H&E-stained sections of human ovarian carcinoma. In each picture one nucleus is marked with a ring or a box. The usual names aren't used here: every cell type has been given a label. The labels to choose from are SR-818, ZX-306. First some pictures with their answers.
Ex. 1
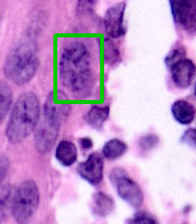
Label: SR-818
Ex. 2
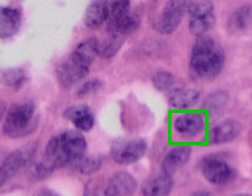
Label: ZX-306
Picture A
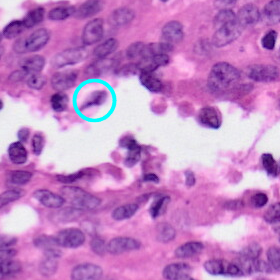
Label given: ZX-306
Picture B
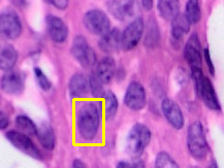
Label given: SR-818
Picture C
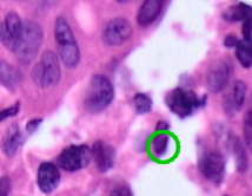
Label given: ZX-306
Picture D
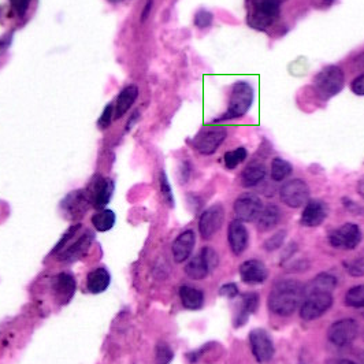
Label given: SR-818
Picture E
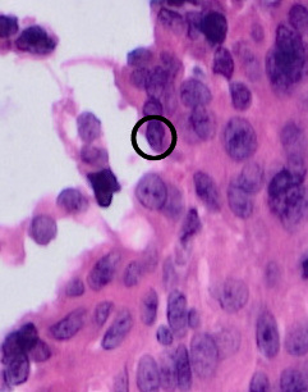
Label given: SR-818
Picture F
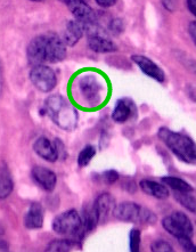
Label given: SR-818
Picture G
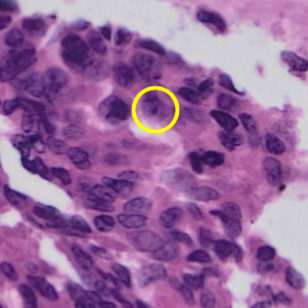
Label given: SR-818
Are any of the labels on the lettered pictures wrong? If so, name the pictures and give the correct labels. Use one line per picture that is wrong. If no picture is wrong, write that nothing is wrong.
D: ZX-306, not SR-818
F: ZX-306, not SR-818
